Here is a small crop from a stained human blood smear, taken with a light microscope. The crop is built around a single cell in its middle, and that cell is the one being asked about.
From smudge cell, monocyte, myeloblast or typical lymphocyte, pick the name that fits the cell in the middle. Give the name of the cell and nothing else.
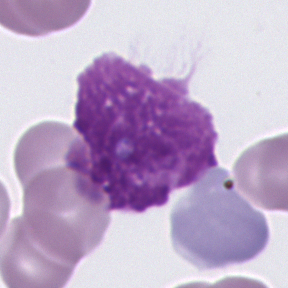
smudge cell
